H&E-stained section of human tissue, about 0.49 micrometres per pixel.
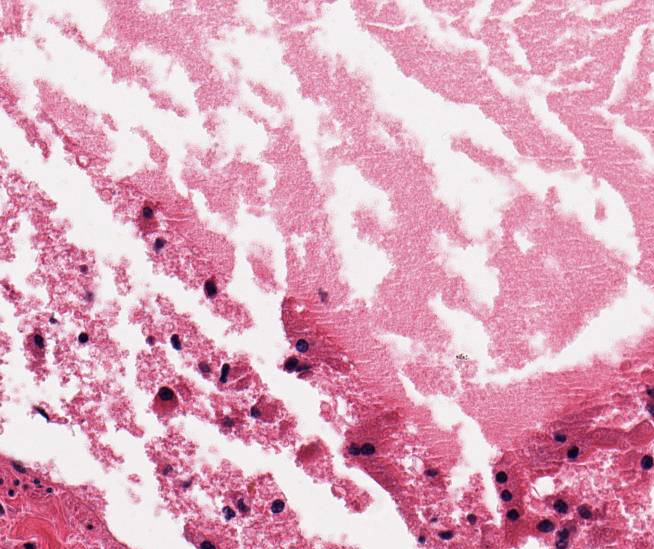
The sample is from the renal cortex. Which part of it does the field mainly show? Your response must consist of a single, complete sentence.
Depicted by this section is the tissue part blood in a vessel or clot.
